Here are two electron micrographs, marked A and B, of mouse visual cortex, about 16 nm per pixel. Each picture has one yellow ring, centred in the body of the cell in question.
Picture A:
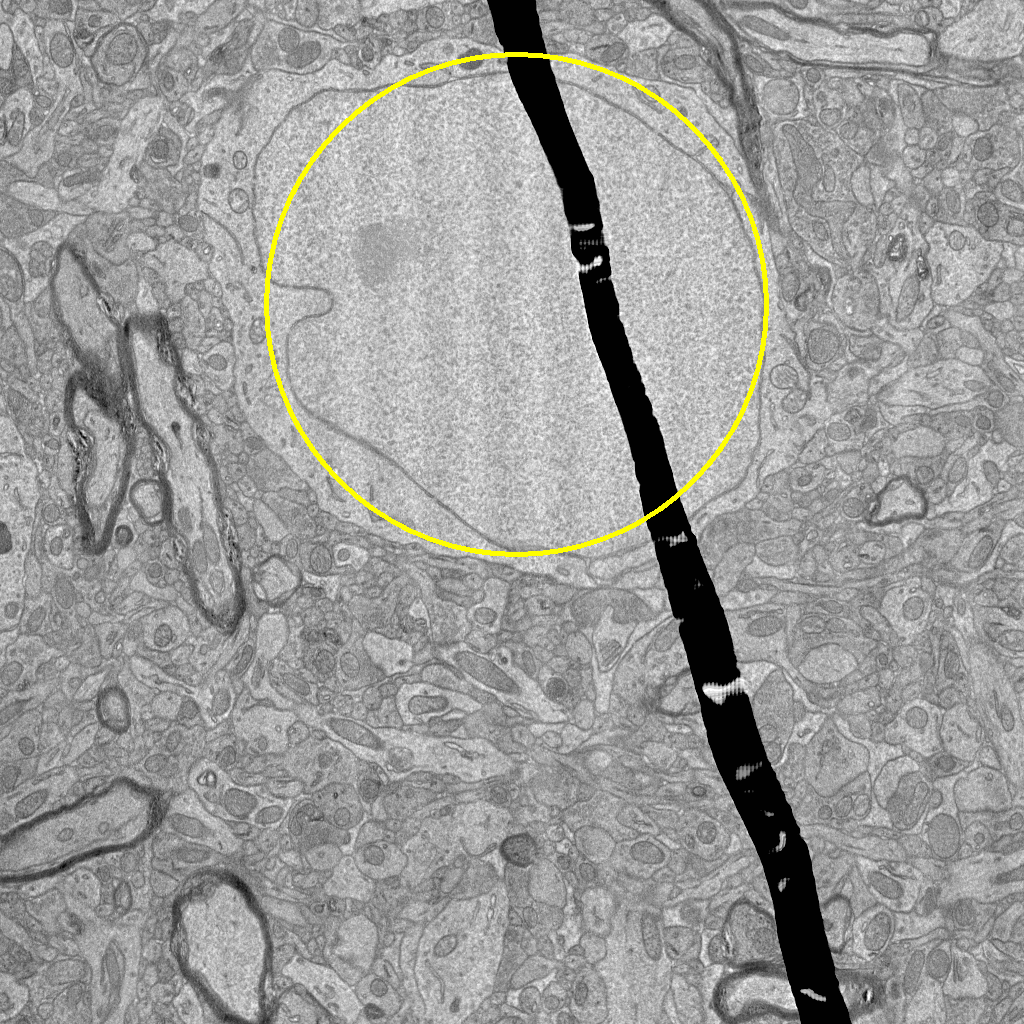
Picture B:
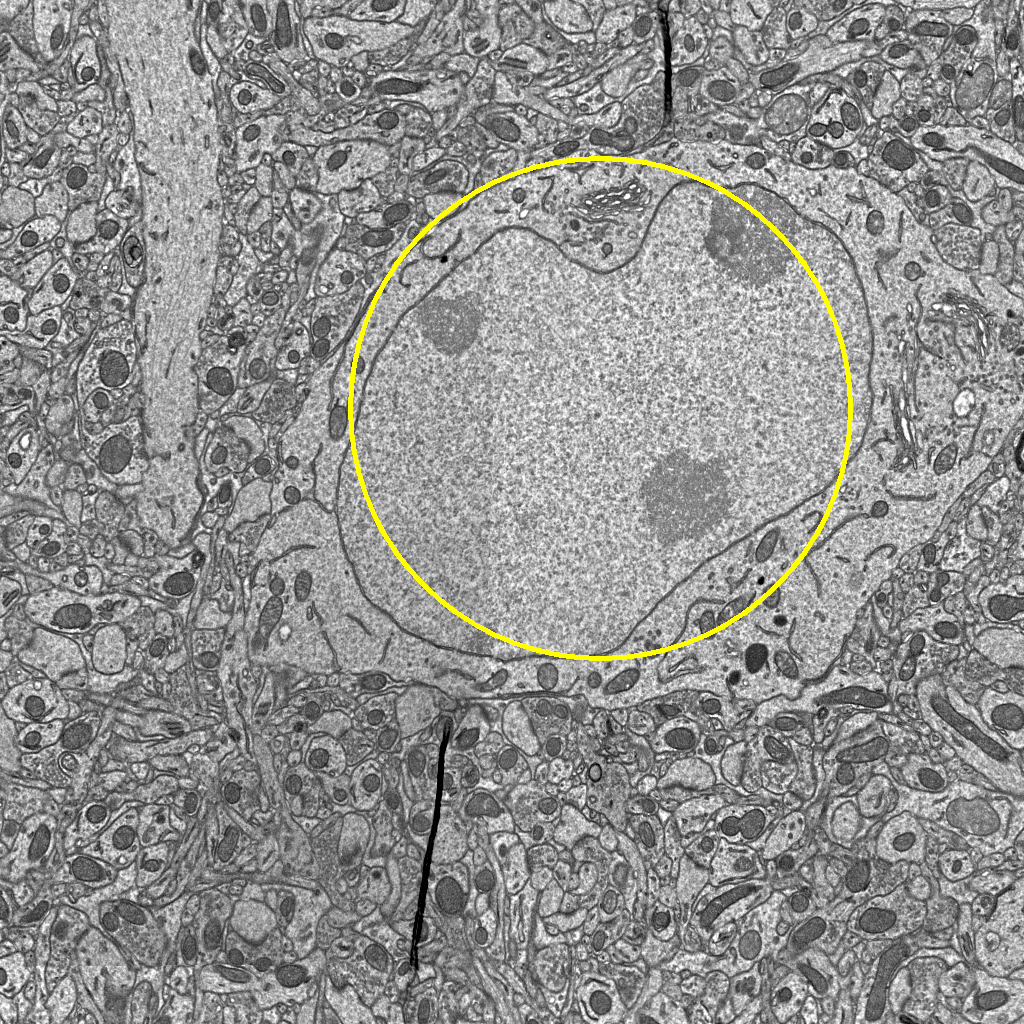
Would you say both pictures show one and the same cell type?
Yes, both are excitatory neurons.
